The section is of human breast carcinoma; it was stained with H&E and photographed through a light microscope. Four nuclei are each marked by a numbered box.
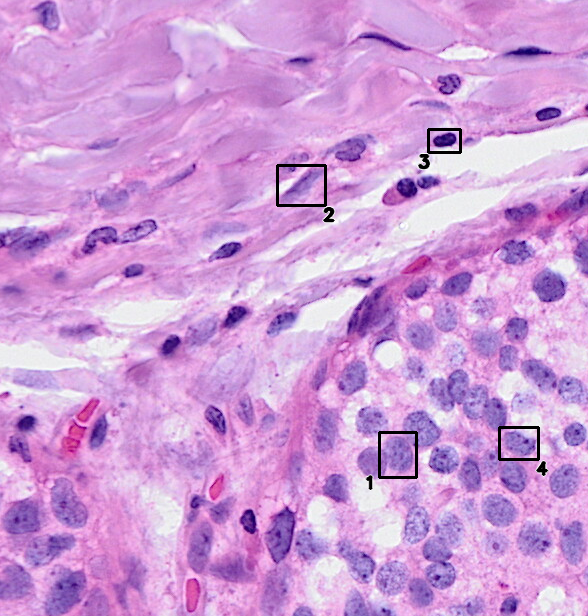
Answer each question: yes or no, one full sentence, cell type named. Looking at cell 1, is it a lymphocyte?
No, the one with number 1 is a carcinoma cell, not a lymphocyte.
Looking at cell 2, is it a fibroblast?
Yes, the marked cell number 2 is a fibroblast.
